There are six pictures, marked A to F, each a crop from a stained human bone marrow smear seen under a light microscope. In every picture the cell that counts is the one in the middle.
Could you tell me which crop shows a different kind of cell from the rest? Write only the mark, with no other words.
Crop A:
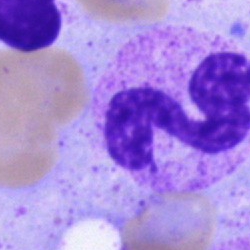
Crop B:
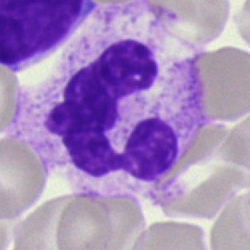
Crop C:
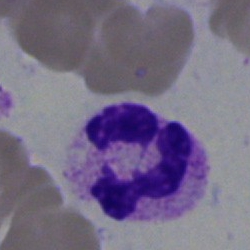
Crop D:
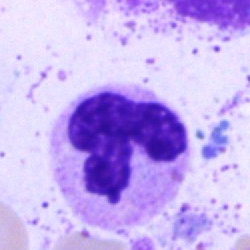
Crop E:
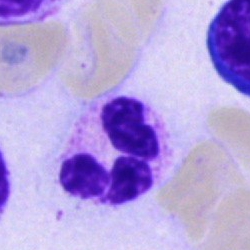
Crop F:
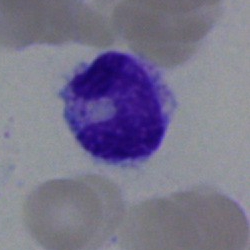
F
